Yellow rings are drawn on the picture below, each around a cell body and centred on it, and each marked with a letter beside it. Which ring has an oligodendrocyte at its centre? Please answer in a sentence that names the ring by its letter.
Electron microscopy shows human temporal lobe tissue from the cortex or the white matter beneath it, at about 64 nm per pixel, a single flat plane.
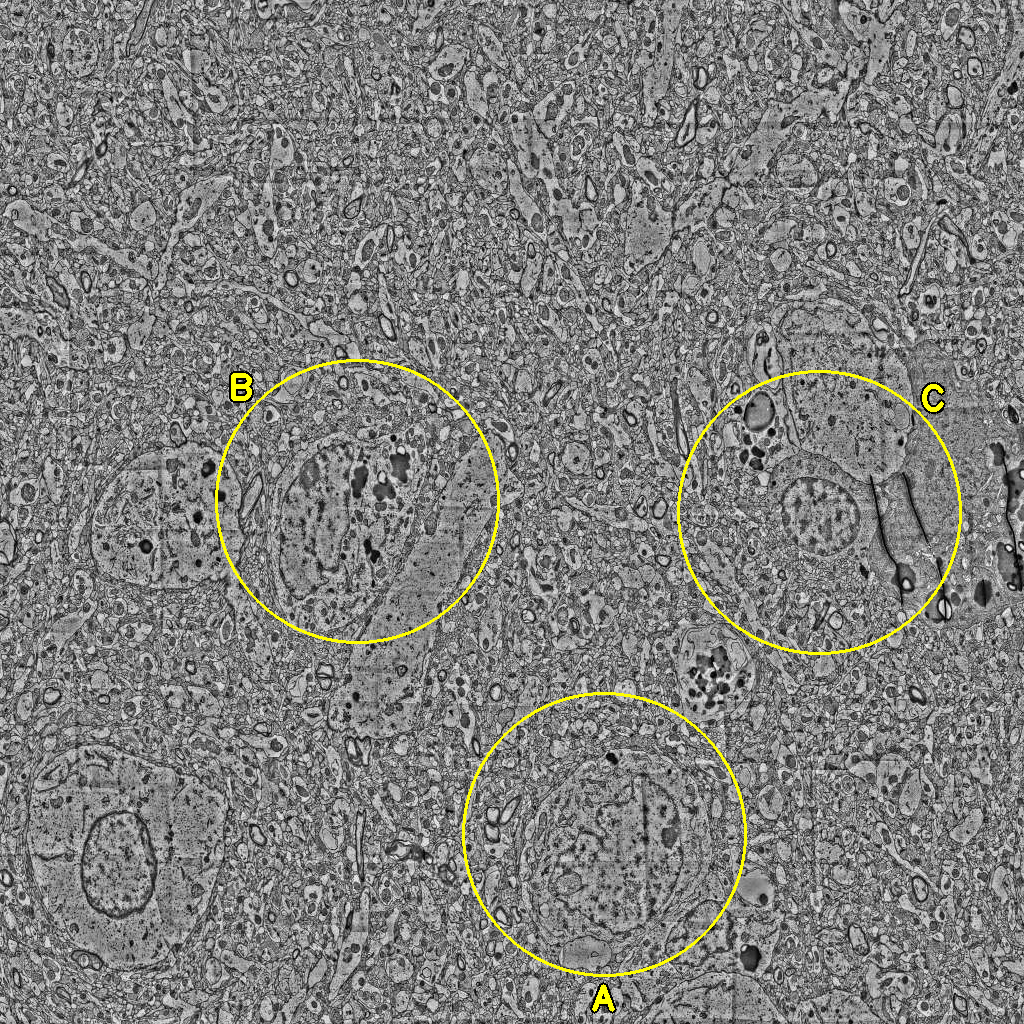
That is ring C.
